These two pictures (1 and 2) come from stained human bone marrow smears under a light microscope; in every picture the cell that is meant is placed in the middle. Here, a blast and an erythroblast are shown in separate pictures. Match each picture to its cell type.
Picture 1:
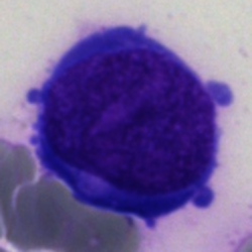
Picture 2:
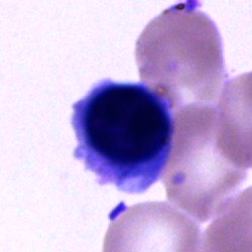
1: blast
2: erythroblast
